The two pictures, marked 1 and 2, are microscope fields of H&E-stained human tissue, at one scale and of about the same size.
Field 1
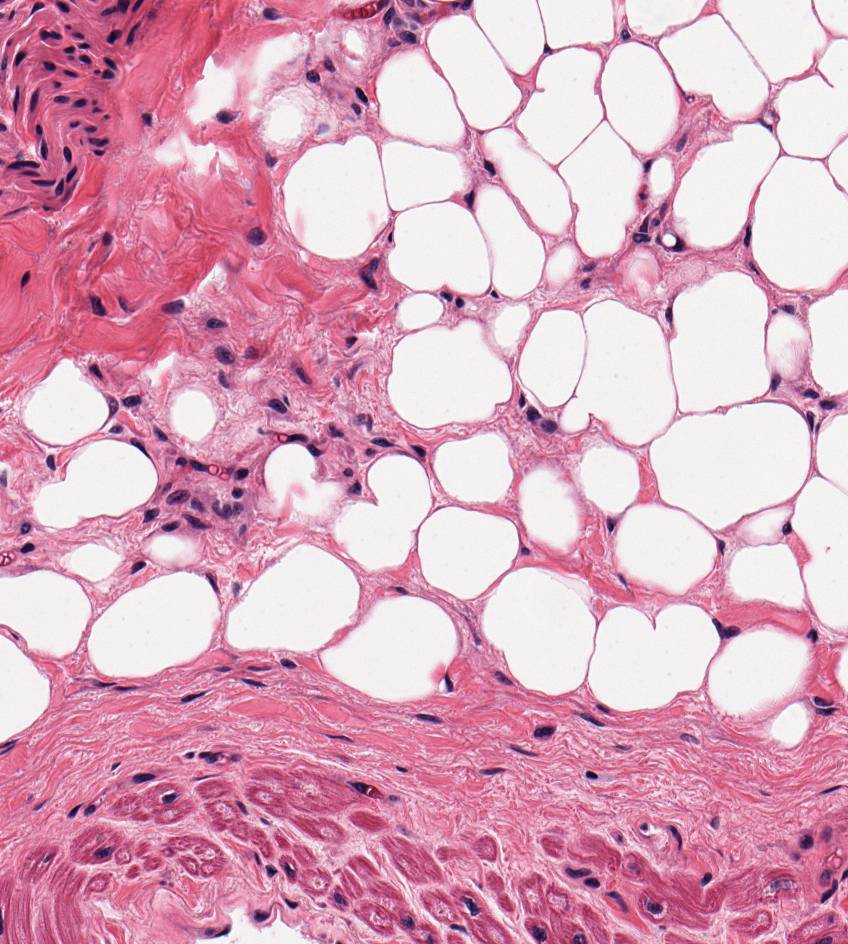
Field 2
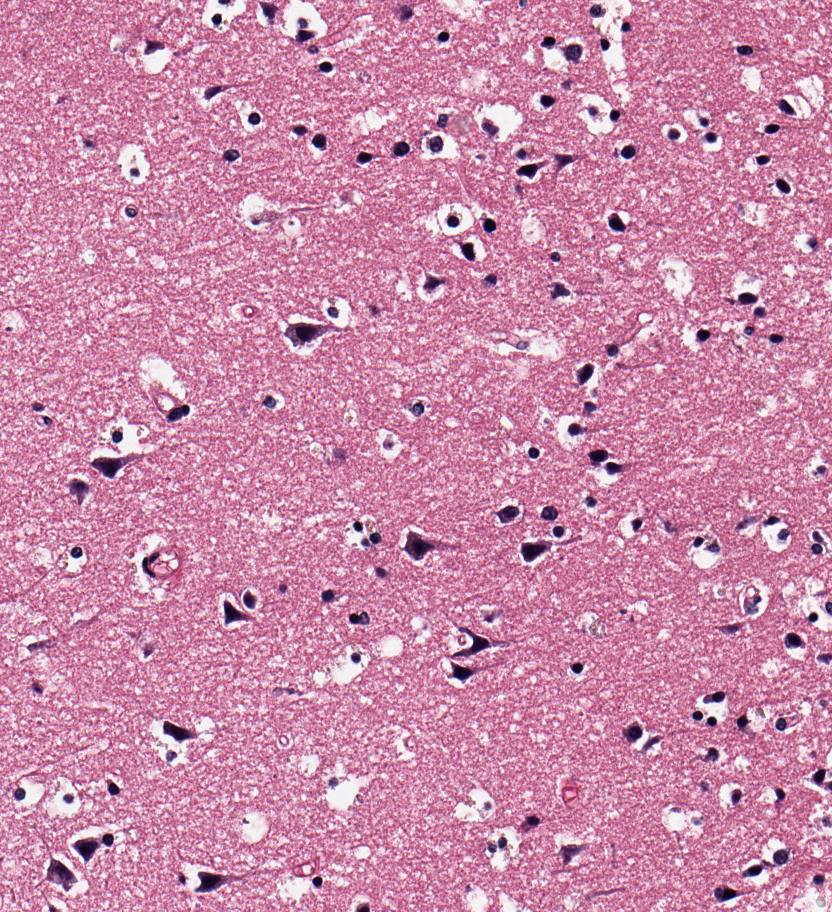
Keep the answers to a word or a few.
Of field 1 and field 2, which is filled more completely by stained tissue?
2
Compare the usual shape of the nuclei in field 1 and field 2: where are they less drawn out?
2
